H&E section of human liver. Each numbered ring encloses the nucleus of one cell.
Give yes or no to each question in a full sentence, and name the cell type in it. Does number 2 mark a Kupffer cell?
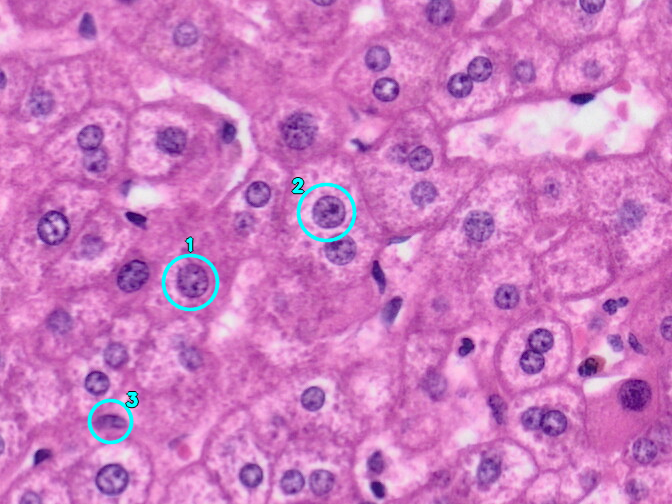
No, it's not a Kupffer cell at number 2; that cell is a hepatocyte.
